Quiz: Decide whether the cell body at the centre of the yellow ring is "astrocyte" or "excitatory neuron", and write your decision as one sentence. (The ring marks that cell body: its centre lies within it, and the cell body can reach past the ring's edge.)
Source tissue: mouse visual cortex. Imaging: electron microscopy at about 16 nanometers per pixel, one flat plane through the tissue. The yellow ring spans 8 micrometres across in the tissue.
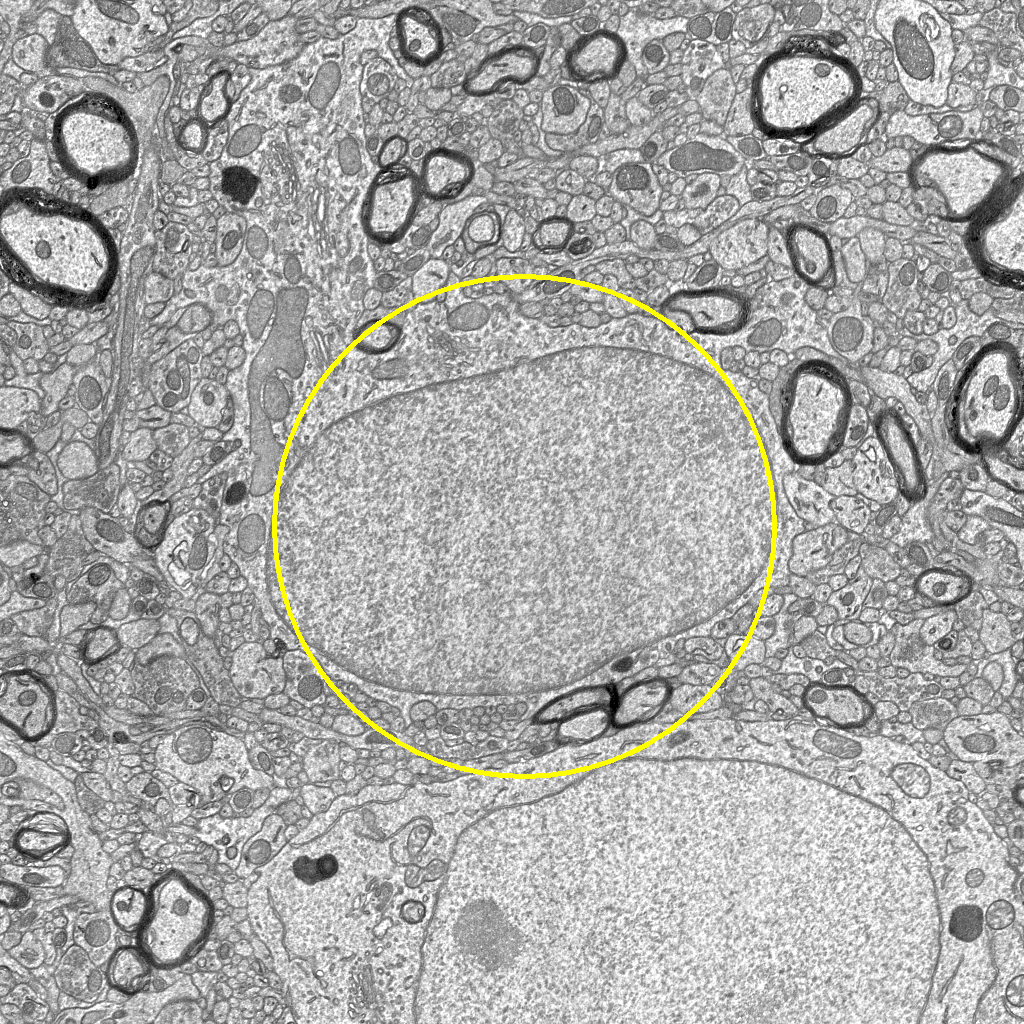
The cell holding the ring's centre is an astrocyte.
